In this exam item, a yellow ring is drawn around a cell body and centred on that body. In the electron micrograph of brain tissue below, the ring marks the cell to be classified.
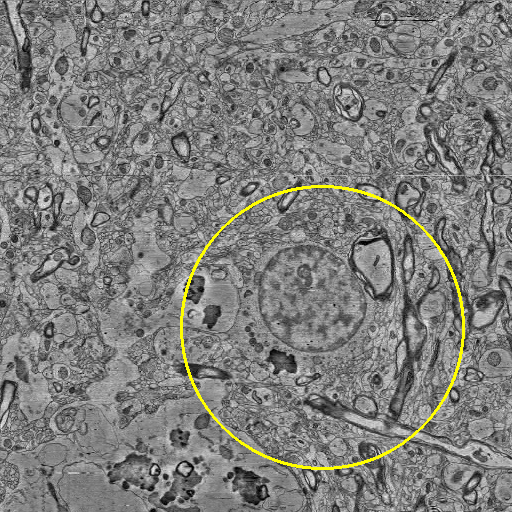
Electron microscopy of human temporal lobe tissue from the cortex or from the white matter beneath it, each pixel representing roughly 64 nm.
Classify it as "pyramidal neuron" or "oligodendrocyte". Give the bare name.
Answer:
oligodendrocyte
